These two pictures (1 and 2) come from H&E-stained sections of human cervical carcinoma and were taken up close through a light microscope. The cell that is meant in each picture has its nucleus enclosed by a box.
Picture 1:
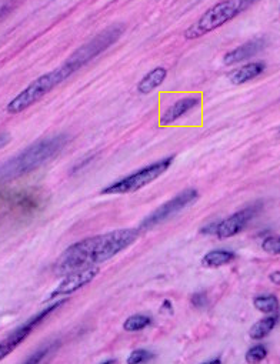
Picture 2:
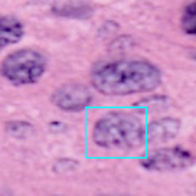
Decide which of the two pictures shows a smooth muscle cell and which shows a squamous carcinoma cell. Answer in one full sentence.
The cell in picture 1 is a smooth muscle cell, and the one in picture 2 is a squamous carcinoma cell.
